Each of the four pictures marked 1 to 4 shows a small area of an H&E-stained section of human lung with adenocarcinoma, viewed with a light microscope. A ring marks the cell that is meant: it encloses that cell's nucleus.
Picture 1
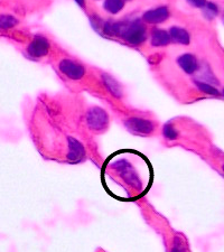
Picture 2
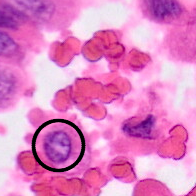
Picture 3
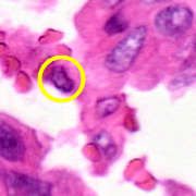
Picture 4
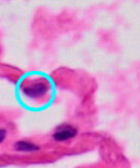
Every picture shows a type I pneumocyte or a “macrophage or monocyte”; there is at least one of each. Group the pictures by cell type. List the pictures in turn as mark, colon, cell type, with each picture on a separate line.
1: type I pneumocyte
2: macrophage or monocyte
3: macrophage or monocyte
4: type I pneumocyte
